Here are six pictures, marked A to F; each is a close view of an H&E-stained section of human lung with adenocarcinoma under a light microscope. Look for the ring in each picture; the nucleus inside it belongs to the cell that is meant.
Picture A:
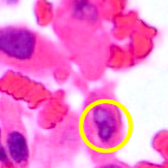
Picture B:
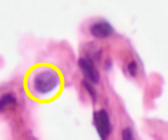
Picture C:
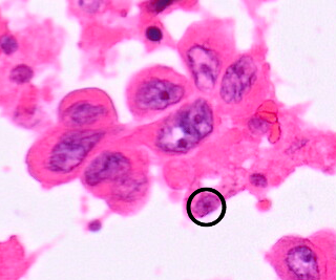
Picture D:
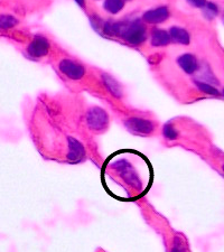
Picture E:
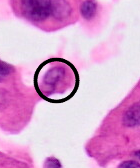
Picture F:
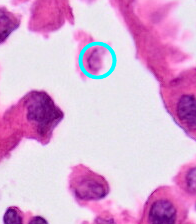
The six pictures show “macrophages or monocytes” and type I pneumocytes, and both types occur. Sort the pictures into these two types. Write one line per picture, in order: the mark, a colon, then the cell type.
A: macrophage or monocyte
B: type I pneumocyte
C: macrophage or monocyte
D: type I pneumocyte
E: macrophage or monocyte
F: macrophage or monocyte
